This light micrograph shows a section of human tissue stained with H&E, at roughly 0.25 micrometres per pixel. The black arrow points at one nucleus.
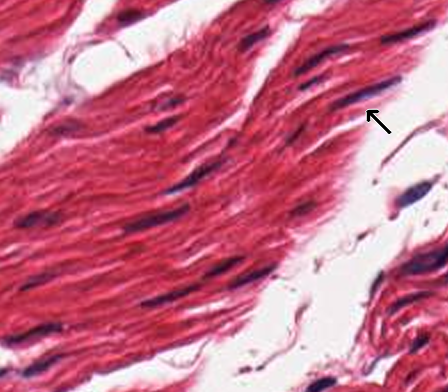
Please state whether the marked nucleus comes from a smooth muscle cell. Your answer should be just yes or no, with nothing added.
yes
